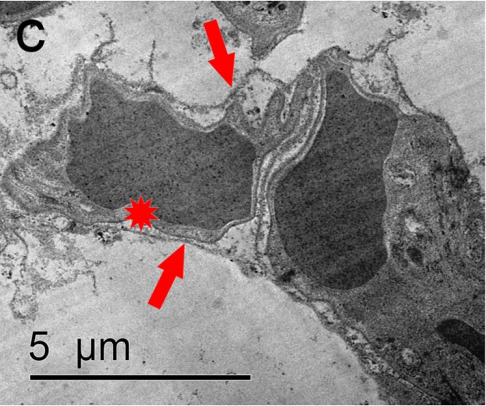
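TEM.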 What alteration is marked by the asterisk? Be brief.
Thick.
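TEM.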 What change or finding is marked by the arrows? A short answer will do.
corrugated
